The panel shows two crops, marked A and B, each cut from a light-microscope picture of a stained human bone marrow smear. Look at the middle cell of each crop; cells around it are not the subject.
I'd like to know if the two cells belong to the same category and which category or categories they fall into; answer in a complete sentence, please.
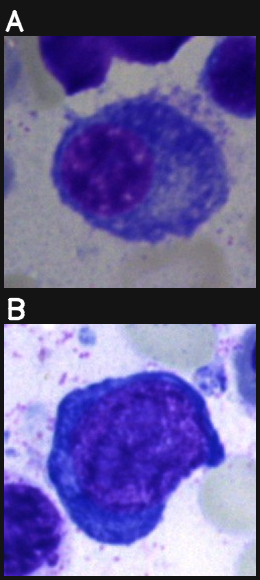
No; crop A is a plasma cell, while crop B is a proerythroblast.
